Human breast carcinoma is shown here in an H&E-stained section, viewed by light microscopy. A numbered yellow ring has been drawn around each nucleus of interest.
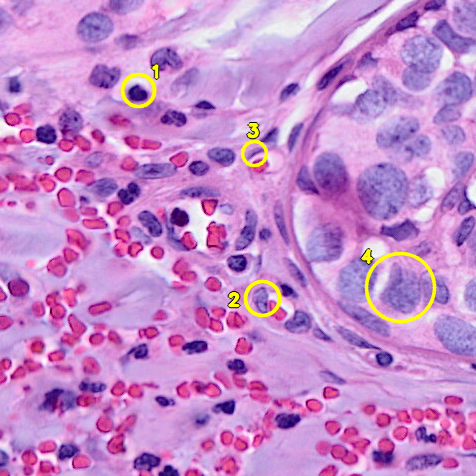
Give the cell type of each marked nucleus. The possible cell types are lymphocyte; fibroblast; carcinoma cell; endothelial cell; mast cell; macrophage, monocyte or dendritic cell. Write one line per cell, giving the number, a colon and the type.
1: lymphocyte
2: endothelial cell
3: endothelial cell
4: carcinoma cell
